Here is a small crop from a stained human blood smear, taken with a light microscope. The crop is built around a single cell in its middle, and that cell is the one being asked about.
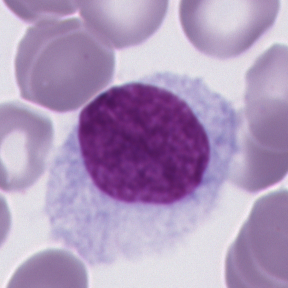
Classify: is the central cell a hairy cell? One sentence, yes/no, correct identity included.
Yes, the central cell here is a hairy cell.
